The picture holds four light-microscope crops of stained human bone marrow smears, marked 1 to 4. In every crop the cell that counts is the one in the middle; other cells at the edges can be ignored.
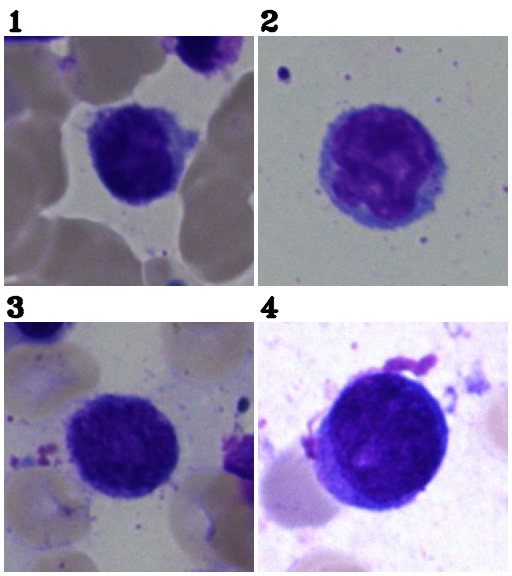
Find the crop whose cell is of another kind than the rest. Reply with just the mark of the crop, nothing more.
4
